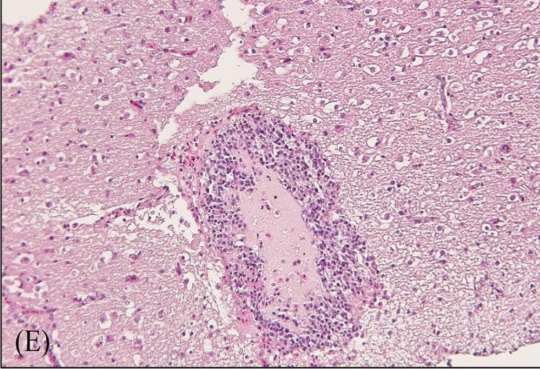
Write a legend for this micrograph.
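Brain tissue with a blood vessel surrounded by a thick cuff of inflammatory cells. The vessel lumen holds pale pink material and is ringed by several layers of small cells with dark round nuclei. The cuff is sharply set off from the surrounding neuropil. The neuropil is pale pink and finely vacuolated, with scattered neurons and glial nuclei. A cleft-like empty space lies beside the vessel at one side.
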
